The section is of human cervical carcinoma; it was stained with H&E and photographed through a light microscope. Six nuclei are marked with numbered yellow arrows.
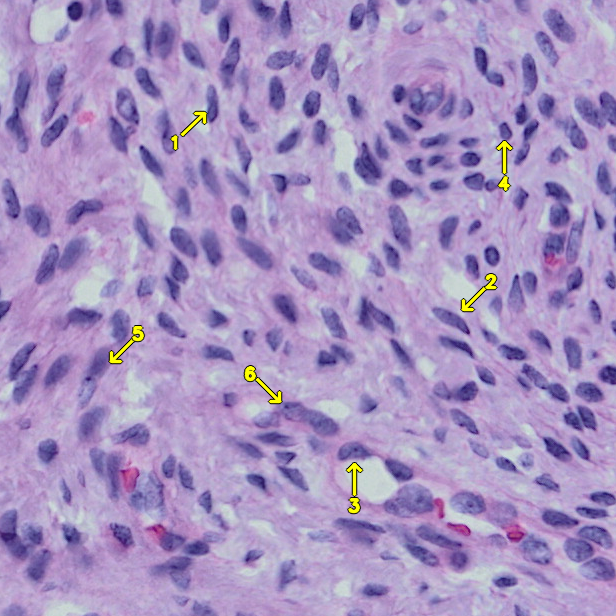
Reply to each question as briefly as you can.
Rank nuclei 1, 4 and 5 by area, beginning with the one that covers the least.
4, 1, 5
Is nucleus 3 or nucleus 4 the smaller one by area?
4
